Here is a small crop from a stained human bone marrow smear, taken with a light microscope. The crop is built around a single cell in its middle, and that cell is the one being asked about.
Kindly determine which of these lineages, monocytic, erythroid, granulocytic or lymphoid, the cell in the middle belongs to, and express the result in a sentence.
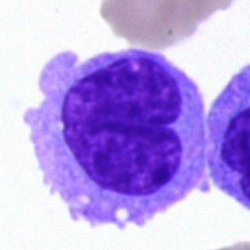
The centered cell should be recorded as belonging to the monocytic lineage.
